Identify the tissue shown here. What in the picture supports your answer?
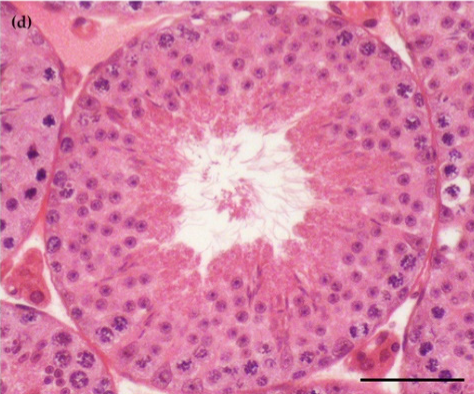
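A round tubule cross-section bounded by a thin wall. Several layers of round-nucleated cells surround a central lumen. Fine tails fill the central lumen. On this evidence: seminiferous tubule.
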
